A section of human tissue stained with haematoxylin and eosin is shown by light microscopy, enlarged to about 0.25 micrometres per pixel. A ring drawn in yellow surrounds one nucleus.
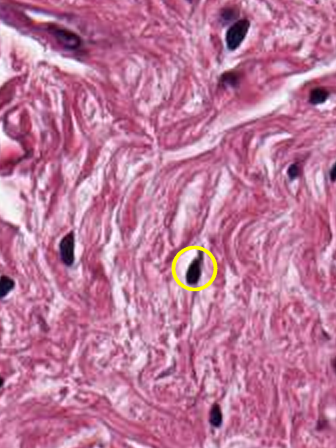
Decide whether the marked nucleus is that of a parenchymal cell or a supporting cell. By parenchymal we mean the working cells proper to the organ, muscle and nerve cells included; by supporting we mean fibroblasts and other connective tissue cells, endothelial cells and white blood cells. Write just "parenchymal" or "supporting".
supporting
